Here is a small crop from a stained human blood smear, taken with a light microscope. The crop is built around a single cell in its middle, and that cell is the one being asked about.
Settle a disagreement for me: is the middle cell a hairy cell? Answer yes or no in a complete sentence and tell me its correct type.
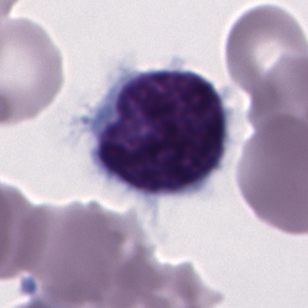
Yes, a hairy cell is the cell positioned in the middle of the field.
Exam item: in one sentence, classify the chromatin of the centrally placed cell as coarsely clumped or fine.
Answer: the chromatin in this nucleus is coarsely clumped.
